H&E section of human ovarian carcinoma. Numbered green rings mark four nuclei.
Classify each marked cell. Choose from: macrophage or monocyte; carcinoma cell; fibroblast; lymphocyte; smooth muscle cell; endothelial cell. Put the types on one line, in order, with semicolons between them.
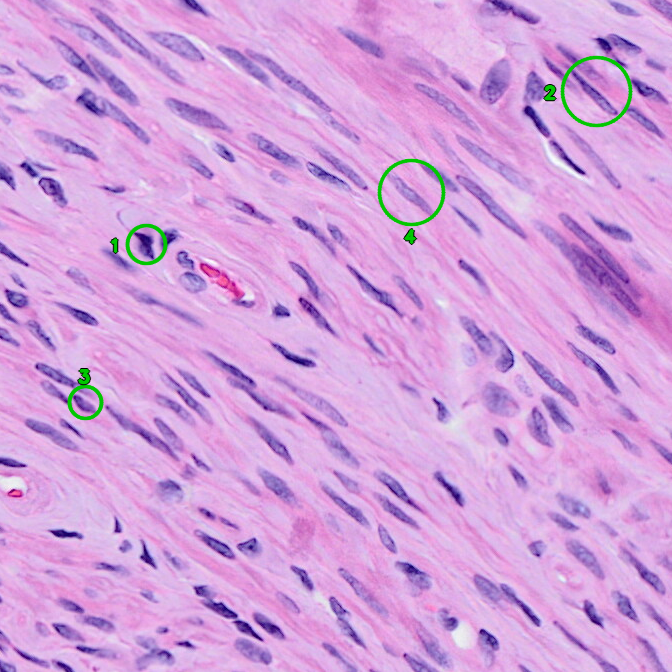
fibroblast; smooth muscle cell; smooth muscle cell; smooth muscle cell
